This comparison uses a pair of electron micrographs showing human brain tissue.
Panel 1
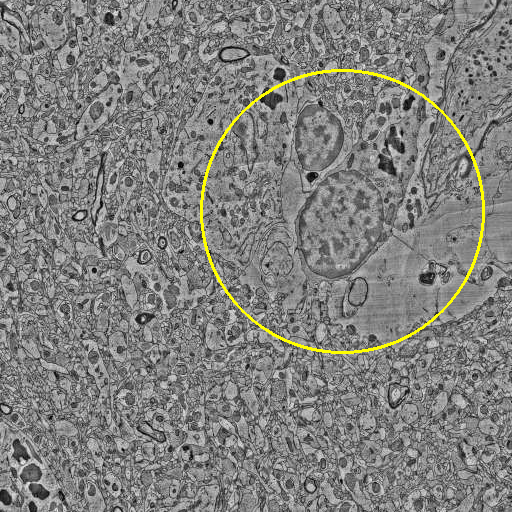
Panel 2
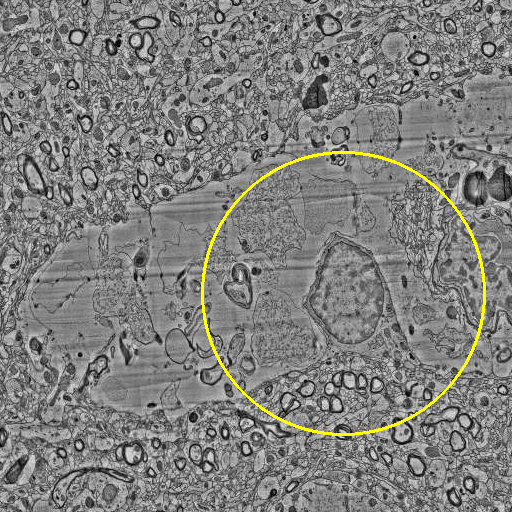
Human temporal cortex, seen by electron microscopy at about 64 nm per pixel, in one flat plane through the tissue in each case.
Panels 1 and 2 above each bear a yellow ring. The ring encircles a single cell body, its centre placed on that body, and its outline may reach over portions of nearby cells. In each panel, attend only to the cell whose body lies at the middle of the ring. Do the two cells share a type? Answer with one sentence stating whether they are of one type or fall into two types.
In Panel 1 and Panel 2, the cells at the centres of the rings are of one type.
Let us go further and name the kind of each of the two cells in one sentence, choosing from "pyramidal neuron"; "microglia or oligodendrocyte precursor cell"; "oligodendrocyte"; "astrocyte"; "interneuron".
In both pictures the ring is centred on an oligodendrocyte.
